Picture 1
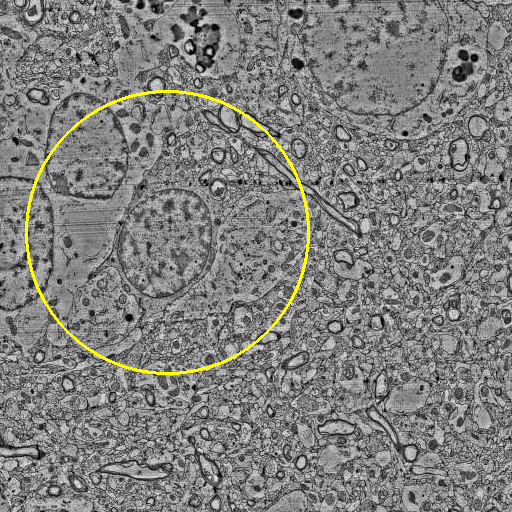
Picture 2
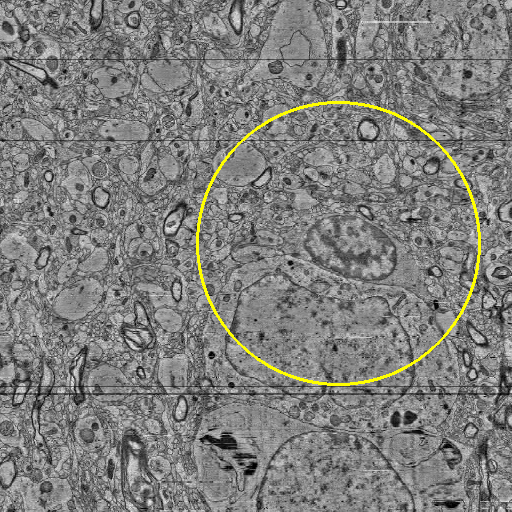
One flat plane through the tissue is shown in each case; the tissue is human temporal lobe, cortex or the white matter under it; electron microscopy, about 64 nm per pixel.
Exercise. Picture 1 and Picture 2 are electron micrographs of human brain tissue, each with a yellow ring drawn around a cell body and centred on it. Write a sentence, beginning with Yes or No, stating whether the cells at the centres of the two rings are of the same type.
Yes, the cells at the centres of both rings are of the same type.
